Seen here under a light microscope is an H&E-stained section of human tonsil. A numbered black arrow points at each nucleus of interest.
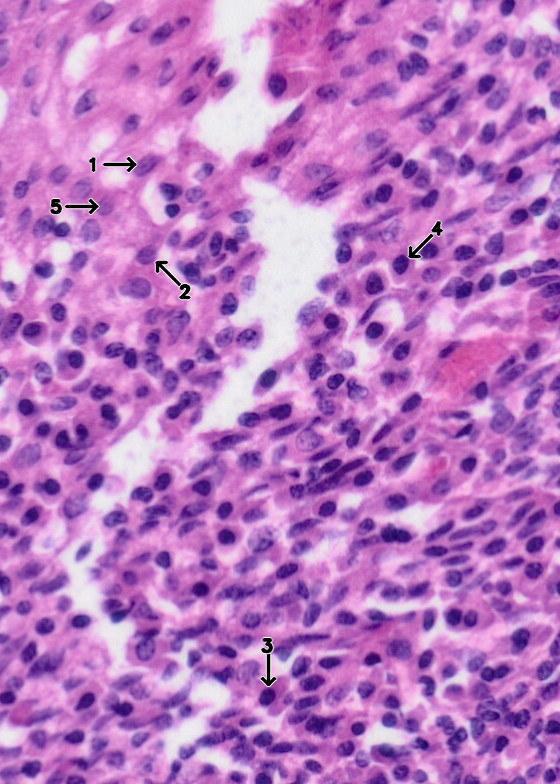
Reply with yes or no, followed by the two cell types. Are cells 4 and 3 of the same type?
Yes, cells 4 and 3 fall into the same group, both being plasma cells.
